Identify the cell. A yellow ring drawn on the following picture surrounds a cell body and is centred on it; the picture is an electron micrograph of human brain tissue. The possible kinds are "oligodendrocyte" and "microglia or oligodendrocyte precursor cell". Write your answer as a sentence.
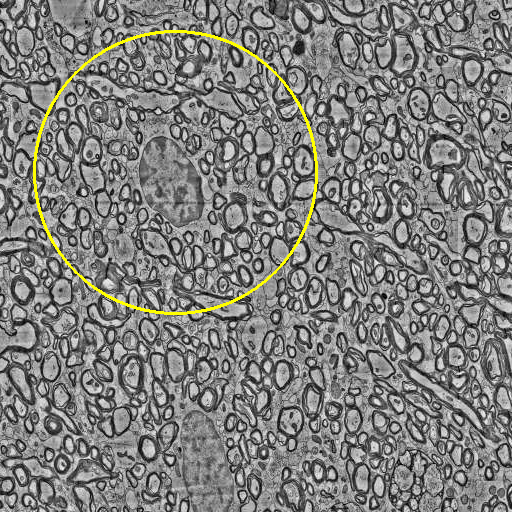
The cell identified by the ring is a microglial cell or oligodendrocyte precursor cell.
